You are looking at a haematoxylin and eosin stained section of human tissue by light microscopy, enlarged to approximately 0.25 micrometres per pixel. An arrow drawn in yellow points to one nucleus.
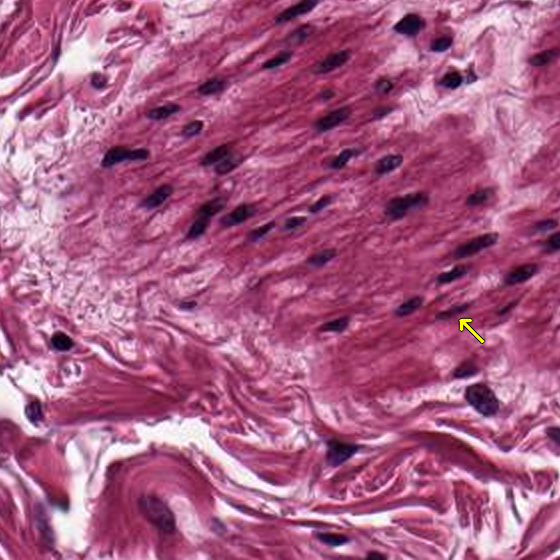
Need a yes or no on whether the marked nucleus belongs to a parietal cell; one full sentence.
No, the marked nucleus belongs to something other than a parietal cell.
